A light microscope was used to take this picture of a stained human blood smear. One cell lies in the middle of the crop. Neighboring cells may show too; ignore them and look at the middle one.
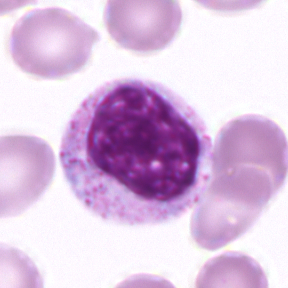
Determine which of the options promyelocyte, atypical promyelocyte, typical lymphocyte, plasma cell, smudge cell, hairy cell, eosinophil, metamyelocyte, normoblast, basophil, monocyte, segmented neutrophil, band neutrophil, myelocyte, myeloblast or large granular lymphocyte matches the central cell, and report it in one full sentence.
In the center of this field lies a metamyelocyte.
